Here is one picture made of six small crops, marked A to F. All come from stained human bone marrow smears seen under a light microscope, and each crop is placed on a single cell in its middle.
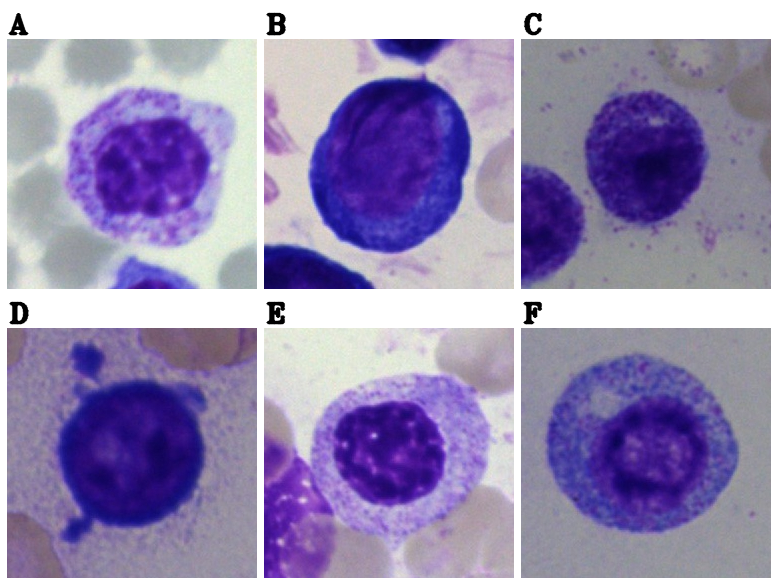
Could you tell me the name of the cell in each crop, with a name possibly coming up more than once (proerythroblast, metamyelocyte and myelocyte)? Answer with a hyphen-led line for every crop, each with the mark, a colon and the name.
- A: myelocyte
- B: proerythroblast
- C: myelocyte
- D: proerythroblast
- E: myelocyte
- F: myelocyte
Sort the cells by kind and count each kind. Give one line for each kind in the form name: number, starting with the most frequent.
myelocyte: 4
proerythroblast: 2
